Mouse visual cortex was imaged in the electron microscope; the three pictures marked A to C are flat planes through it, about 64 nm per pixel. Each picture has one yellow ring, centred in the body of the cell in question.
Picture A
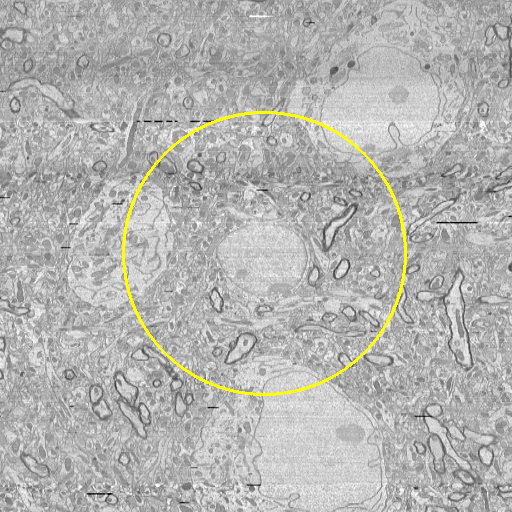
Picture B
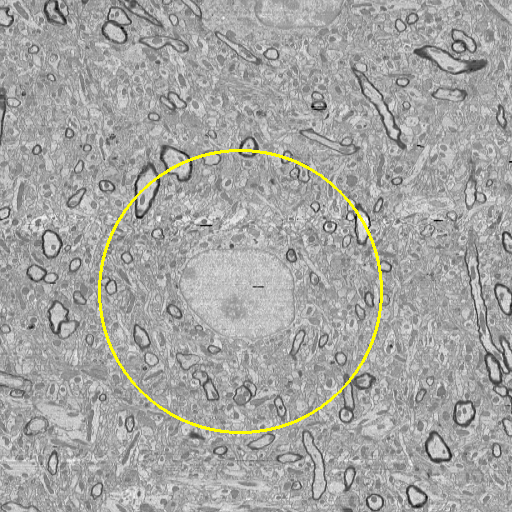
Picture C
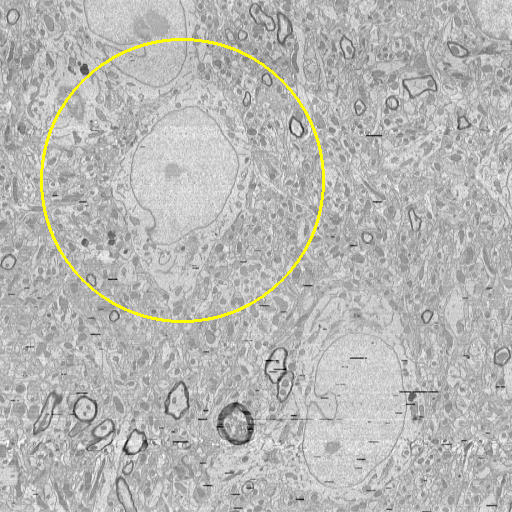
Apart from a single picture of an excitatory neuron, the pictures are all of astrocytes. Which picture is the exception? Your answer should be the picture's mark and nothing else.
C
